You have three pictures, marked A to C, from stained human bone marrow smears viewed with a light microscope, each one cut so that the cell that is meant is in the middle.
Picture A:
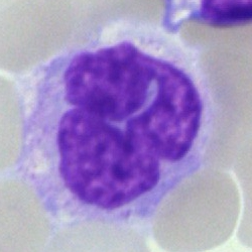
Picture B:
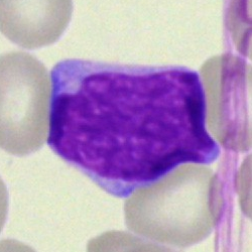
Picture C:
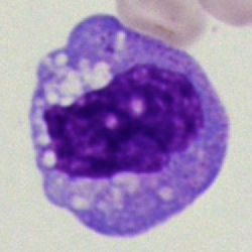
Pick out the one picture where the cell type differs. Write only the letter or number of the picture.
B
